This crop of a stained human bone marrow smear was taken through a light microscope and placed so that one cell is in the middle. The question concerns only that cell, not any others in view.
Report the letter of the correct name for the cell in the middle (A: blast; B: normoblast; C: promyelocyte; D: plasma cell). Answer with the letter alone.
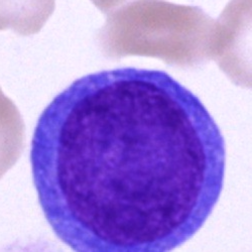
A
